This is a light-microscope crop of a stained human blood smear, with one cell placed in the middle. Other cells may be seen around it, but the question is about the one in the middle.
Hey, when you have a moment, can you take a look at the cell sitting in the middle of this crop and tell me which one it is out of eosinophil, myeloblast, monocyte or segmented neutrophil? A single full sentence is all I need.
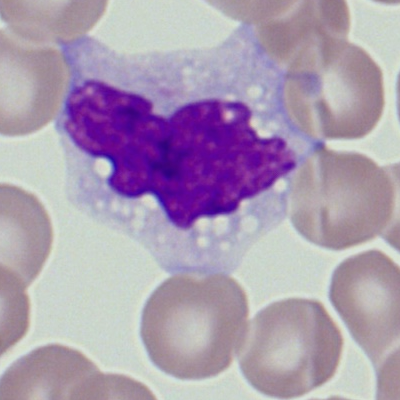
As for the central cell, it is a monocyte.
